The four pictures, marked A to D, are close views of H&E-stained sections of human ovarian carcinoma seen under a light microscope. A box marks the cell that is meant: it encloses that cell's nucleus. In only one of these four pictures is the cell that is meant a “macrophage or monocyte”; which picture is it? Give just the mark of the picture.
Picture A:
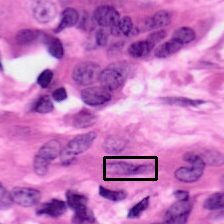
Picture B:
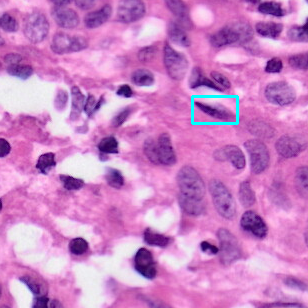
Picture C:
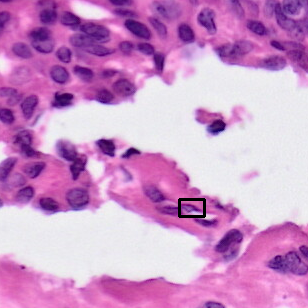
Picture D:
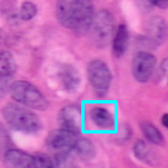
D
